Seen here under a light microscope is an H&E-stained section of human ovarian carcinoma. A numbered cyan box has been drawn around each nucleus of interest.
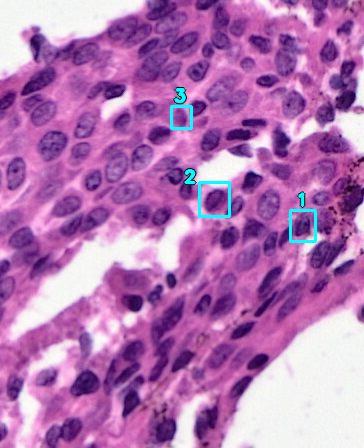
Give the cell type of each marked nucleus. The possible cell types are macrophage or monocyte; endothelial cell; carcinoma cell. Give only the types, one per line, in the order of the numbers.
macrophage or monocyte
carcinoma cell
macrophage or monocyte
